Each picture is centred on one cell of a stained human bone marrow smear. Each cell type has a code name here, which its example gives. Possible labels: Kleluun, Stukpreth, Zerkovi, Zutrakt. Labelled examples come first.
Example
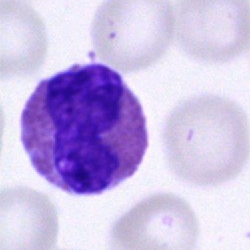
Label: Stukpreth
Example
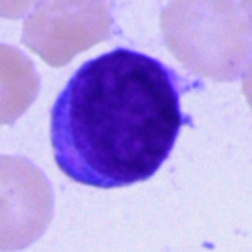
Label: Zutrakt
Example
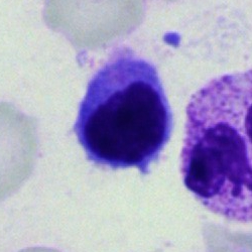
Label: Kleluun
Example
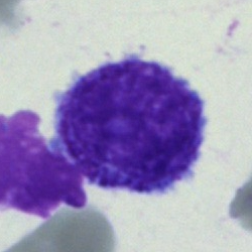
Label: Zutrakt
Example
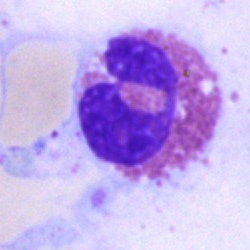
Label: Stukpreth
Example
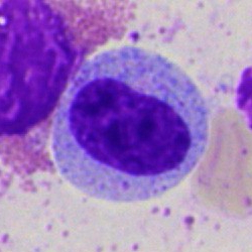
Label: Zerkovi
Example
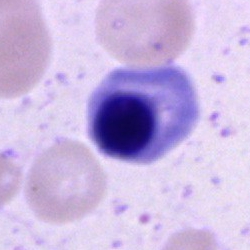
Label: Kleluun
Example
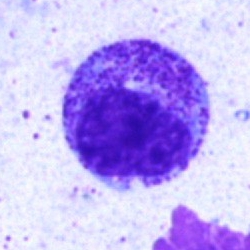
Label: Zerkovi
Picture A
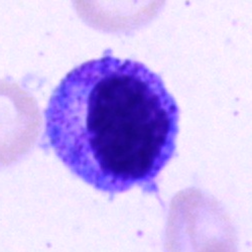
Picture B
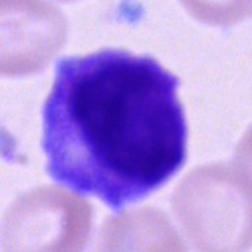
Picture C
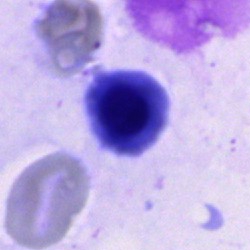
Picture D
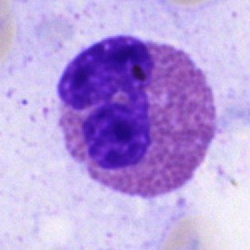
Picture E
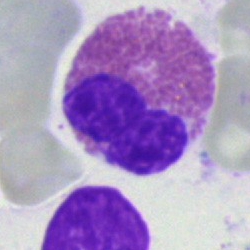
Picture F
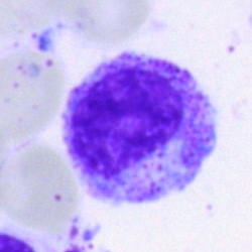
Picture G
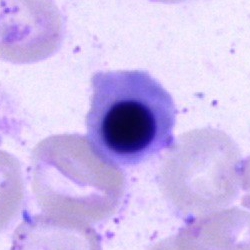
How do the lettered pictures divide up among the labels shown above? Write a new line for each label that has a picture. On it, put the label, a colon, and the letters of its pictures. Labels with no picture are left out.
Kleluun: C, G
Stukpreth: D, E
Zerkovi: A, B, F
